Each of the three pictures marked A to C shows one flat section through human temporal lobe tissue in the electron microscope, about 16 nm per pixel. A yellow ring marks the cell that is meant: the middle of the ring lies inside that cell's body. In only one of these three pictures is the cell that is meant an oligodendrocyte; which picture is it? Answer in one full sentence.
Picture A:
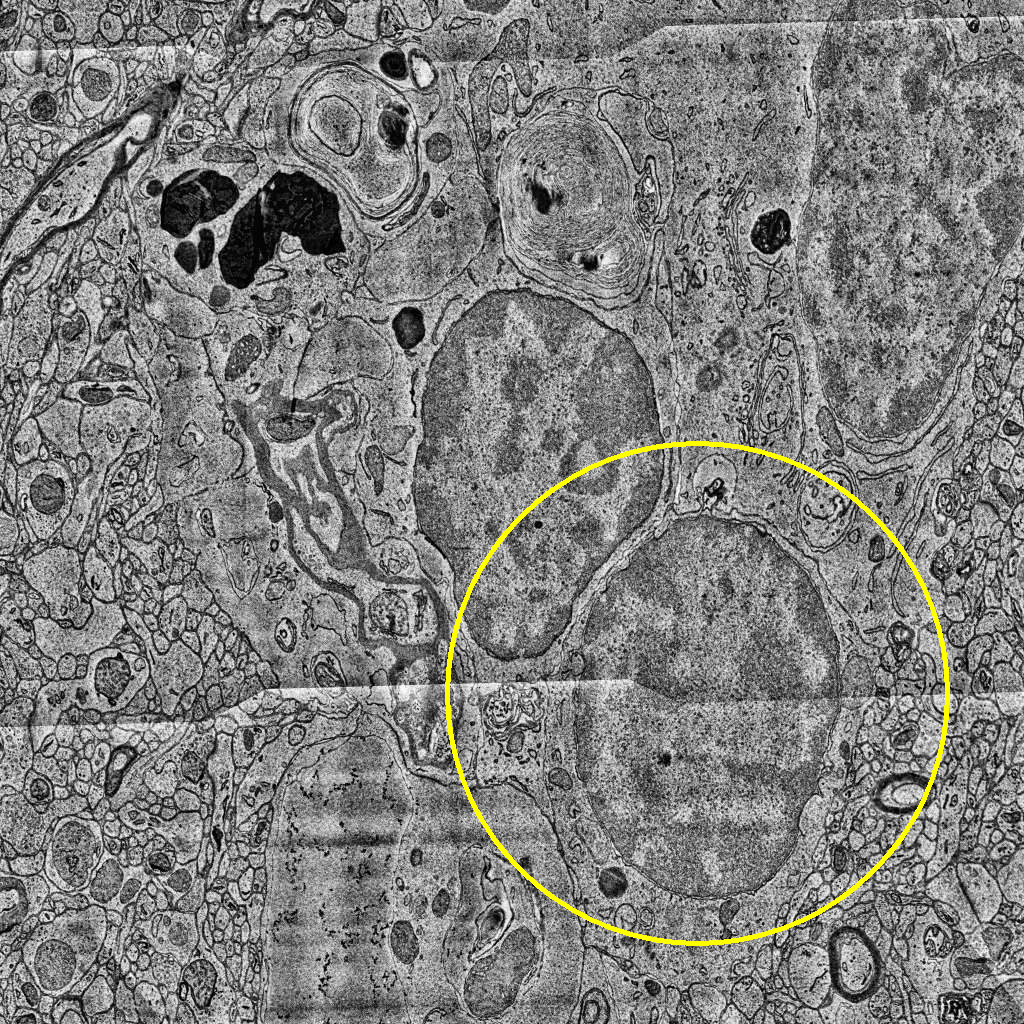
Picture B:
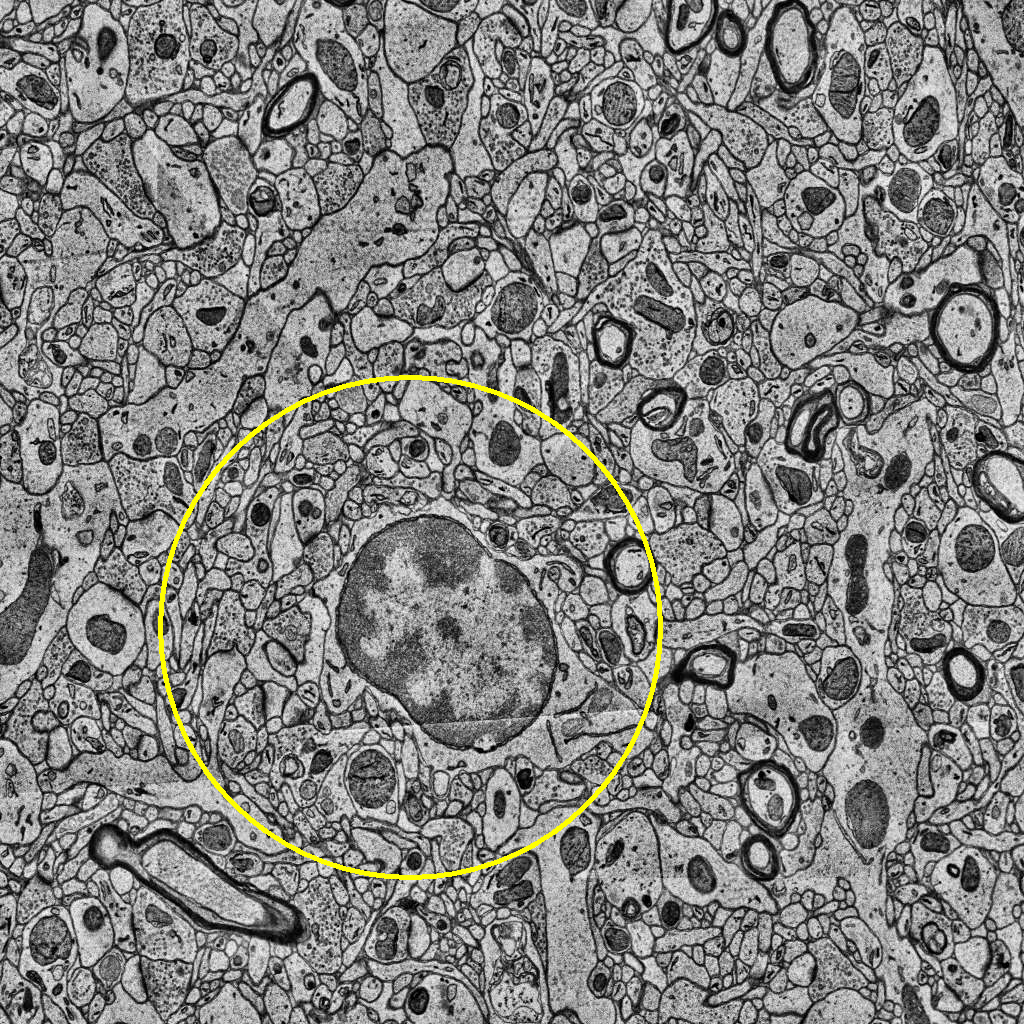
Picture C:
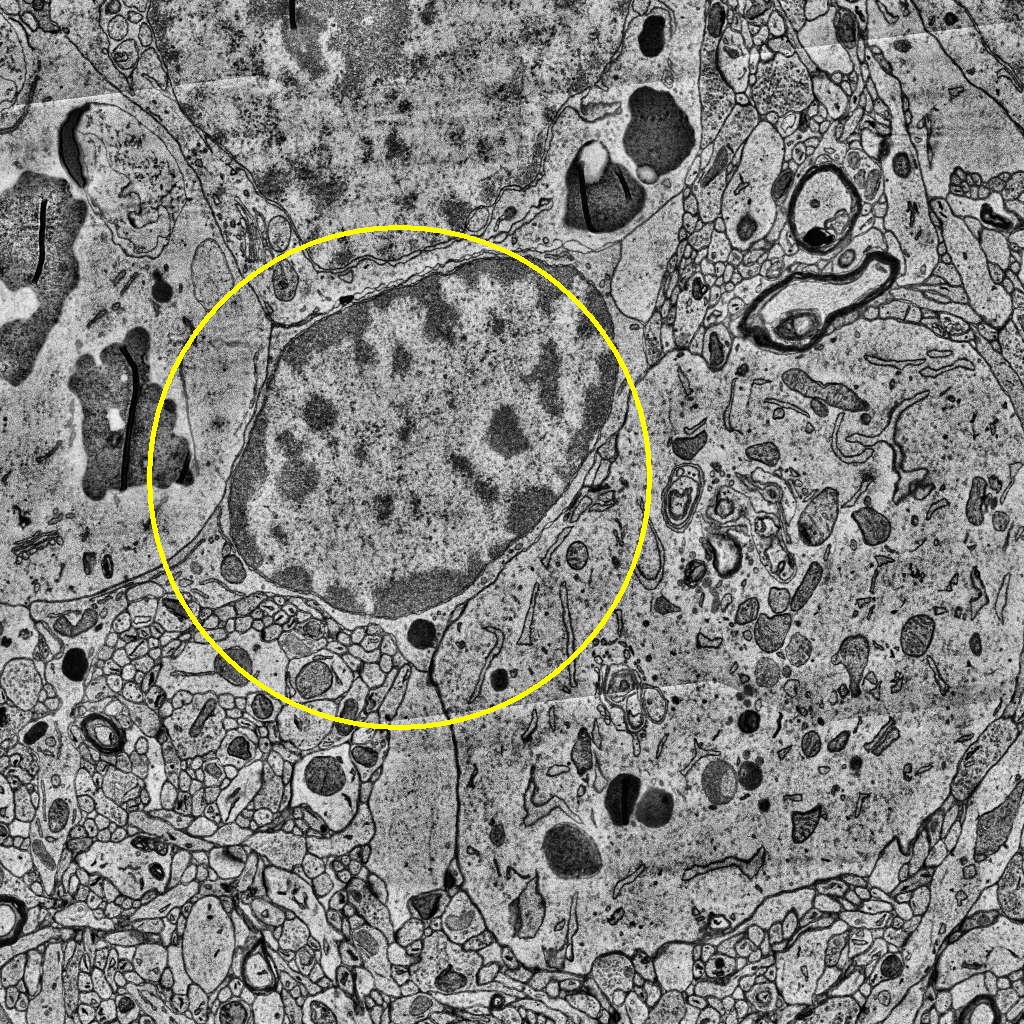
Picture A shows the oligodendrocyte.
